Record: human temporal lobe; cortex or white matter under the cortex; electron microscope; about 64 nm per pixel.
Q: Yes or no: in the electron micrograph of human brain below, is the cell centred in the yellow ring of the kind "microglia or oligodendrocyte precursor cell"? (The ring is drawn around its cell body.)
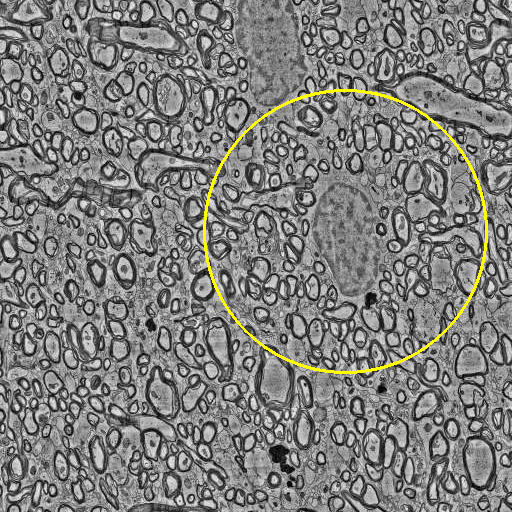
no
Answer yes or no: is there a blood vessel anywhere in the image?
No, none shows.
